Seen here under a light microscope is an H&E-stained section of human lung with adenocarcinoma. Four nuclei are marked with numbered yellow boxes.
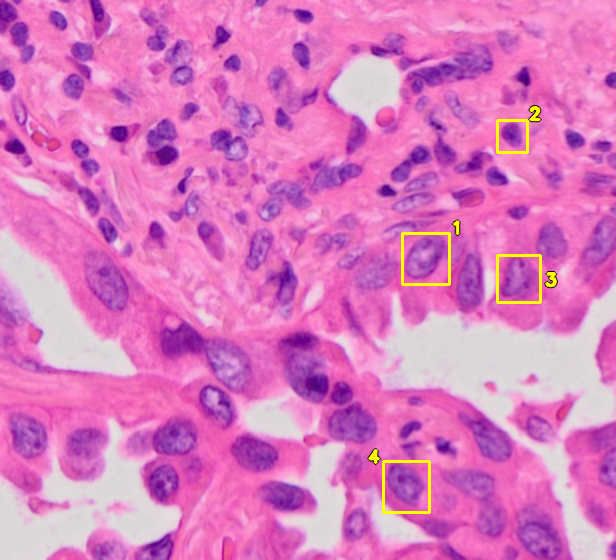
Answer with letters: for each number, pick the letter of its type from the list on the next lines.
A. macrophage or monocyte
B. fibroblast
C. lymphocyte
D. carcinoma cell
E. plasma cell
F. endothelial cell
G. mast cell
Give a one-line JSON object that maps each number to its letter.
{"1": "D", "2": "C", "3": "D", "4": "D"}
